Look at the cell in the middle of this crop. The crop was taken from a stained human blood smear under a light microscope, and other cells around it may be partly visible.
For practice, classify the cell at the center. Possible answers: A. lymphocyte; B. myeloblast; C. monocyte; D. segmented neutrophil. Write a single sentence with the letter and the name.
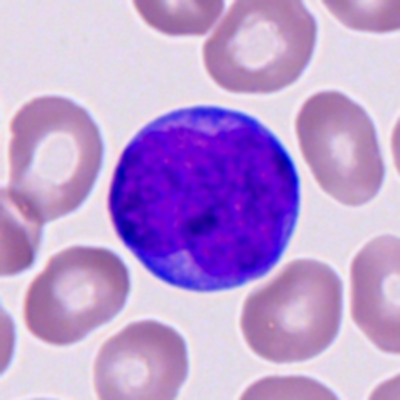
Option B is the correct one; it names the central cell as a myeloblast.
